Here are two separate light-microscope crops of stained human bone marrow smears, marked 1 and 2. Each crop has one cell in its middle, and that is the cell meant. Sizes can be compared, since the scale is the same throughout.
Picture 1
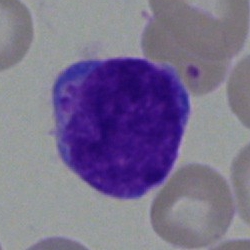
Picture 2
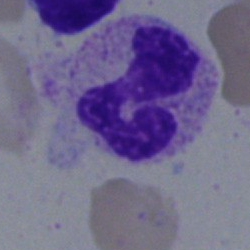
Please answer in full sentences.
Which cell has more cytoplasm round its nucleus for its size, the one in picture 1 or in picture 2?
Of the two, the nucleus in picture 2 leaves more room for cytoplasm.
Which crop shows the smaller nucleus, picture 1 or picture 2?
It is the nucleus in picture 2; the one in picture 1 has about 1.5 times its area.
